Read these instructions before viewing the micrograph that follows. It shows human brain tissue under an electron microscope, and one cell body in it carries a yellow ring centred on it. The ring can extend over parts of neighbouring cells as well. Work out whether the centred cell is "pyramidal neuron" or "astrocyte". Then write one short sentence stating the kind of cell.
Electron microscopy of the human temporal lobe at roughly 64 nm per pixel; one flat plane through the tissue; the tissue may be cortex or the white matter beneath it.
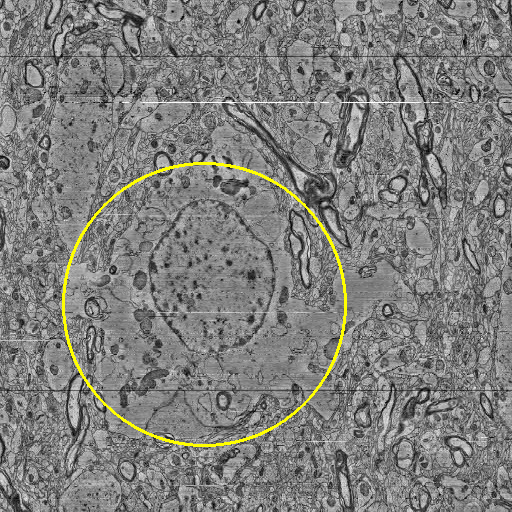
The ringed cell is an astrocyte.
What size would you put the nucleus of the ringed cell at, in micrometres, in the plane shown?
Roughly 10 by 8 micrometres in this plane, for the nucleus of the ringed cell.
